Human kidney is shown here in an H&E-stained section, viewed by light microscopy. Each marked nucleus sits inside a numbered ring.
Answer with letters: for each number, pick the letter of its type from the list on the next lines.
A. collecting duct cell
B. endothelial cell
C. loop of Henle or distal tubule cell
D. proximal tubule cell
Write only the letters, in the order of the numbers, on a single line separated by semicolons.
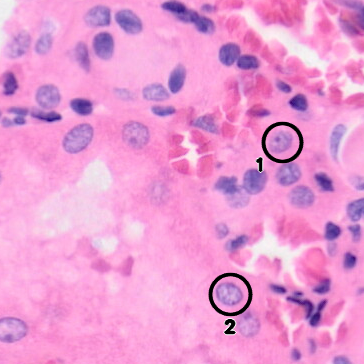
C; D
